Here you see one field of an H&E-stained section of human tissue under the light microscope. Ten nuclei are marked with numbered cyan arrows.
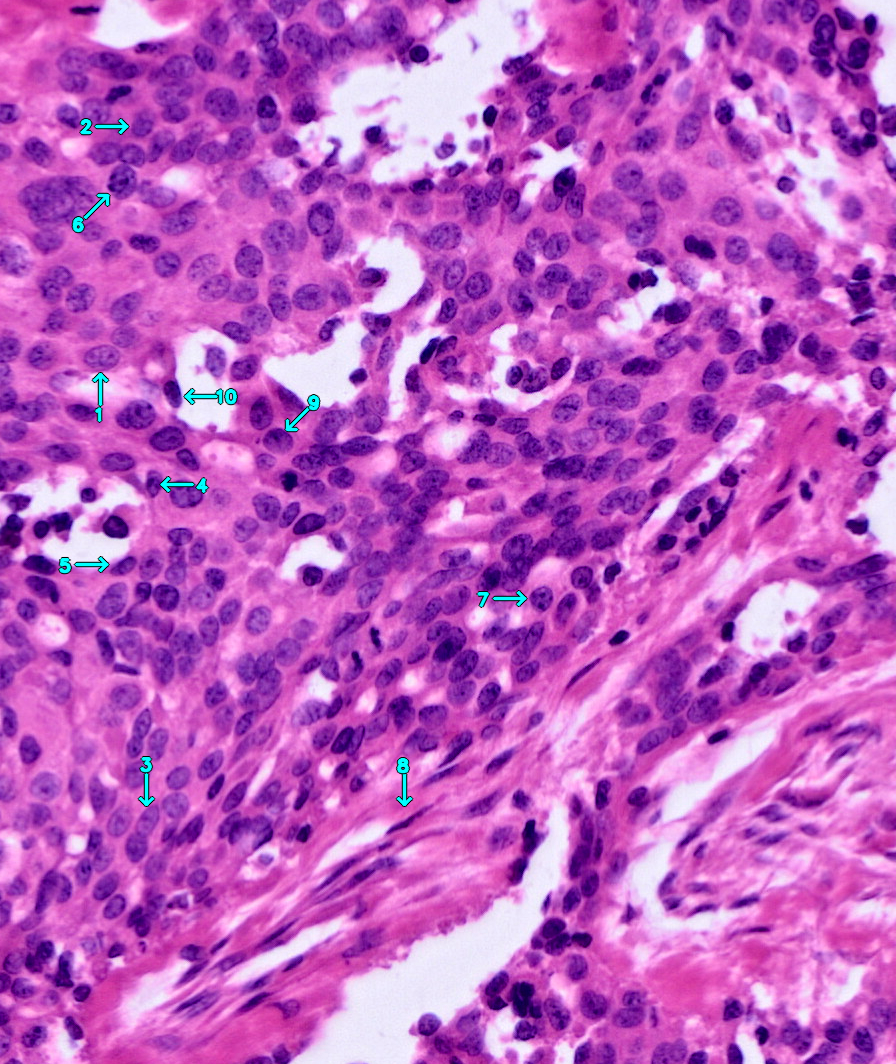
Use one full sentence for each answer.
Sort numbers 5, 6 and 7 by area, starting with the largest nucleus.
Going from the biggest nucleus down to the smallest gives 6, 7, 5.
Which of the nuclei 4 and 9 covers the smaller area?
The smaller nucleus is 4, and 9 covers roughly 1.5 times its area.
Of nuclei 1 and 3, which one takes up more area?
Nucleus 1 is the larger one, covering about 1.5 times the area of nucleus 3.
